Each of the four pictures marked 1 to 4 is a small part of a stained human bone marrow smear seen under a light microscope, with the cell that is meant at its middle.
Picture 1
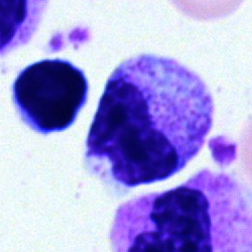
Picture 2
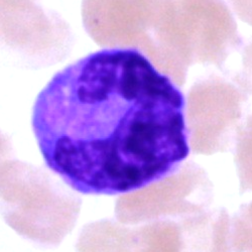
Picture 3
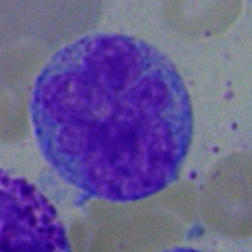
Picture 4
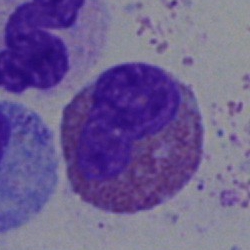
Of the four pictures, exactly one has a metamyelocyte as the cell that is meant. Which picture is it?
1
